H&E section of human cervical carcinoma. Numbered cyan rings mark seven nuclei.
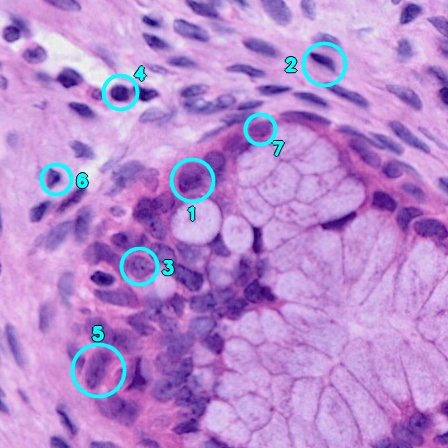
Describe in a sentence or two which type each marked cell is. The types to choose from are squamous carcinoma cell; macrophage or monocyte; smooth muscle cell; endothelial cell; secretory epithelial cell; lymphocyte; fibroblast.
Cell 1 is a secretory epithelial cell, cell 2 is a fibroblast, cell 3 is a secretory epithelial cell, cell 4 is a lymphocyte, cell 5 is a secretory epithelial cell, cell 6 is a fibroblast and cell 7 is a secretory epithelial cell.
